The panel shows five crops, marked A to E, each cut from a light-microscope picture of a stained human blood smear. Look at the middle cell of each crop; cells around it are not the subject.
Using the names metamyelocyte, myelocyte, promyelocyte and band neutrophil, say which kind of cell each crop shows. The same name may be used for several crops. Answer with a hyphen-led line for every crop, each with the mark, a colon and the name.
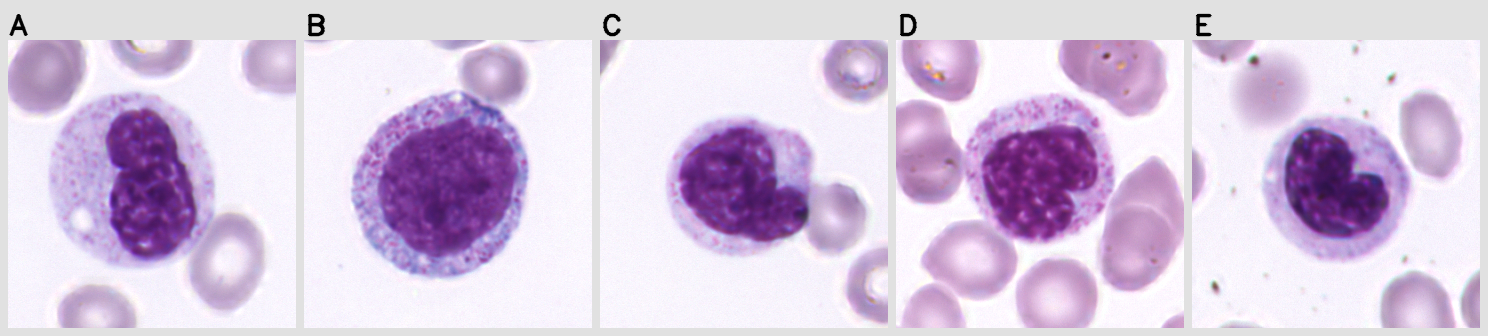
- A: band neutrophil
- B: promyelocyte
- C: band neutrophil
- D: band neutrophil
- E: band neutrophil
